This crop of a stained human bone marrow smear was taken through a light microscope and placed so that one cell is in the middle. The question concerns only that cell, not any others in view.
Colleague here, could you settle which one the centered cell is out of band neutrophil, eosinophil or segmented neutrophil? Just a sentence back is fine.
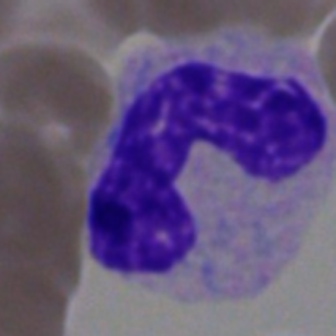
The center cell of this crop is a band neutrophil.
